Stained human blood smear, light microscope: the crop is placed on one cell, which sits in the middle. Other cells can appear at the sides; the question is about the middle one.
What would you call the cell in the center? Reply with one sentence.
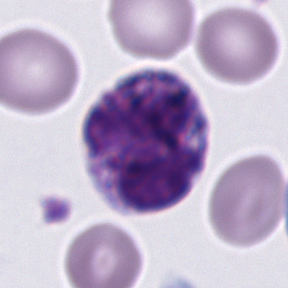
In the crop, the cell of interest at the centre is a basophil.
